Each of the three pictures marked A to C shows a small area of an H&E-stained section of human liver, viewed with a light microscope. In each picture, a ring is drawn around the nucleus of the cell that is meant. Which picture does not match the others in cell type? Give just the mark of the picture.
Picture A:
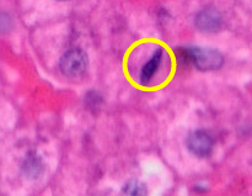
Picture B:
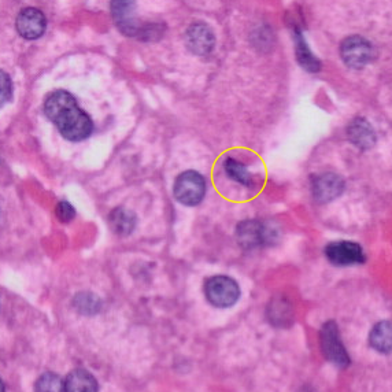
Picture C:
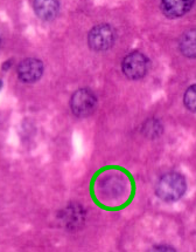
C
